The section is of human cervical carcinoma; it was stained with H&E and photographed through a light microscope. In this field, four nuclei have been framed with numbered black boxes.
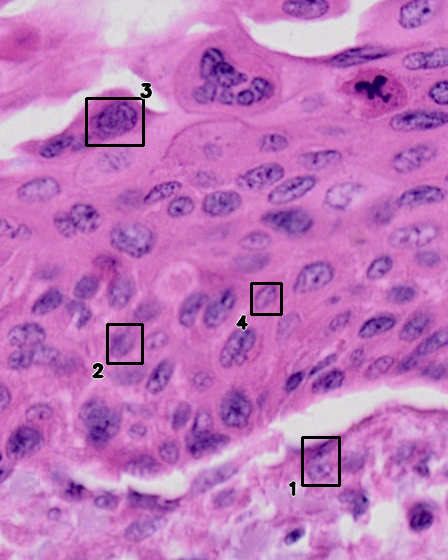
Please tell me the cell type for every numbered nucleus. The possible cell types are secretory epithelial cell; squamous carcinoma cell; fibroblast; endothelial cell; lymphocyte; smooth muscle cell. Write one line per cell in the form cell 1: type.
cell 1: fibroblast
cell 2: squamous carcinoma cell
cell 3: squamous carcinoma cell
cell 4: squamous carcinoma cell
